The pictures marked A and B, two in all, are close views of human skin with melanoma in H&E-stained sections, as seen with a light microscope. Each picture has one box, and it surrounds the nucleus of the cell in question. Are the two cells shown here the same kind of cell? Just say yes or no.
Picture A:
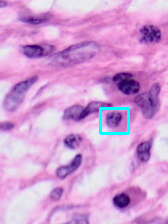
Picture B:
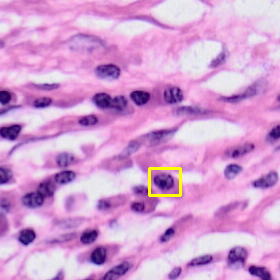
yes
